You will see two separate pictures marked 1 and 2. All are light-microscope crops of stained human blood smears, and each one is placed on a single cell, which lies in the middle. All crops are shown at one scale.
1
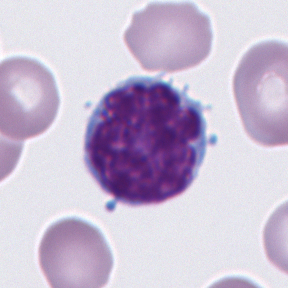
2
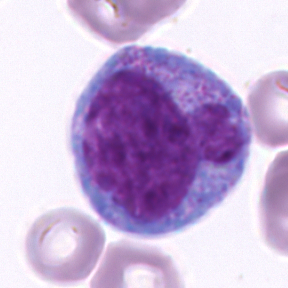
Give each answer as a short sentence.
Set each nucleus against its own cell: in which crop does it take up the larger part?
The nucleus fills more of the cell in picture 1 than in picture 2.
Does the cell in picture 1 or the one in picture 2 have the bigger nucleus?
The nucleus in picture 2 is larger, with about 1.5 times the area of the one in picture 1.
